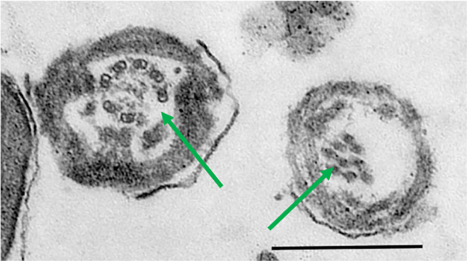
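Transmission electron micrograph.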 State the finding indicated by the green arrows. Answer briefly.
Axonemal structure was disorganized.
